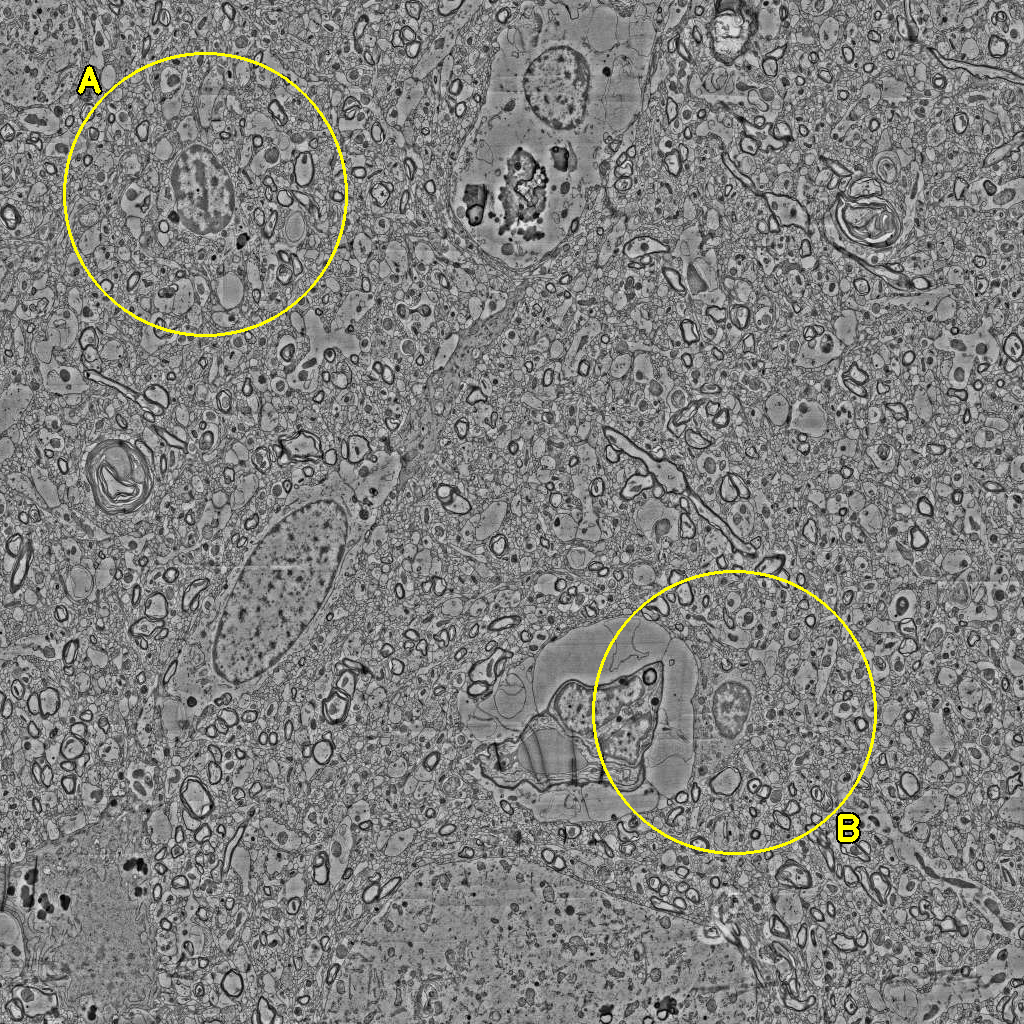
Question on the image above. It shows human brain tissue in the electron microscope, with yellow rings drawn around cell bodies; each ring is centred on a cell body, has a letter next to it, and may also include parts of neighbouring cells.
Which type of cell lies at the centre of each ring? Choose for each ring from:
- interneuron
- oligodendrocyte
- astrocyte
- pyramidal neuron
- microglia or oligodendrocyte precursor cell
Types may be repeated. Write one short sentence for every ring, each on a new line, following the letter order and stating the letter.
Ring A has been drawn around a microglial cell or oligodendrocyte precursor cell.
Ring B has been drawn around an oligodendrocyte.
